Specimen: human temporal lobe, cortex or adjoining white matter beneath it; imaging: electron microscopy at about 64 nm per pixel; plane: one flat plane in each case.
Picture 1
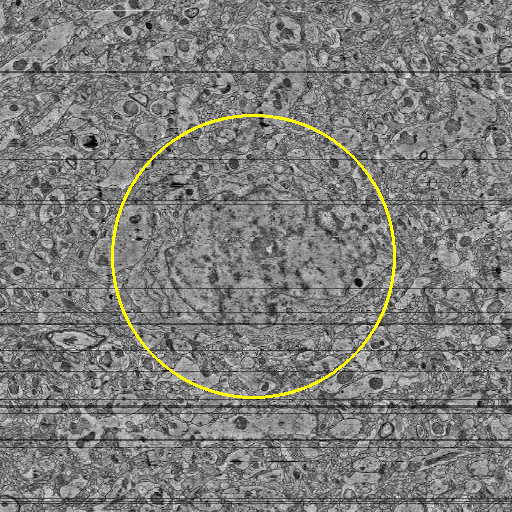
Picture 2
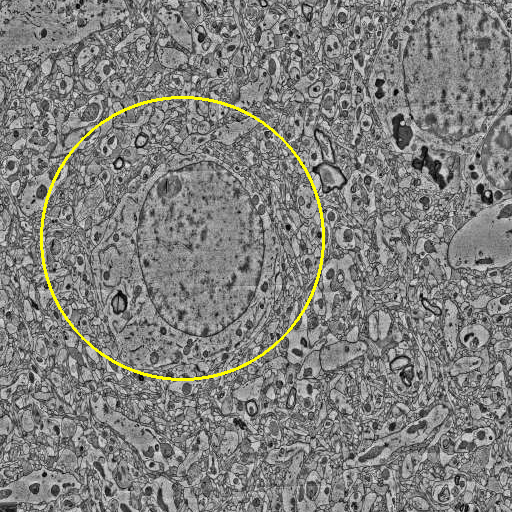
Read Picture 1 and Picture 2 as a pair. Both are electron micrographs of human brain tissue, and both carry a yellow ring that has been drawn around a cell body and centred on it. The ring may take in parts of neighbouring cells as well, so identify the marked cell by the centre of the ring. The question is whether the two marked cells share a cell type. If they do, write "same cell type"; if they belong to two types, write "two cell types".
two cell types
